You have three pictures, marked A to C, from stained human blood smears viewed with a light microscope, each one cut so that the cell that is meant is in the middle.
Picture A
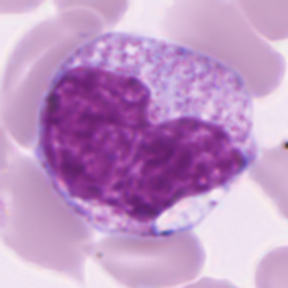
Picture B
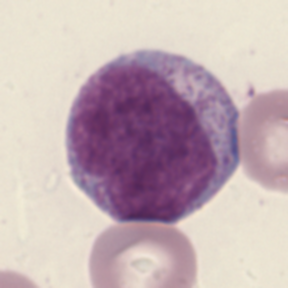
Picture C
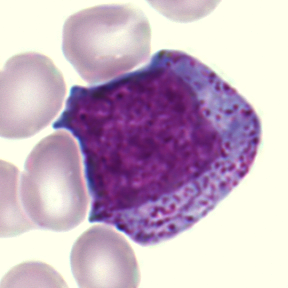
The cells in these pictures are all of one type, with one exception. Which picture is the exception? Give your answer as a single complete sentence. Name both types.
The others show promyelocytes, but picture A shows a myelocyte.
